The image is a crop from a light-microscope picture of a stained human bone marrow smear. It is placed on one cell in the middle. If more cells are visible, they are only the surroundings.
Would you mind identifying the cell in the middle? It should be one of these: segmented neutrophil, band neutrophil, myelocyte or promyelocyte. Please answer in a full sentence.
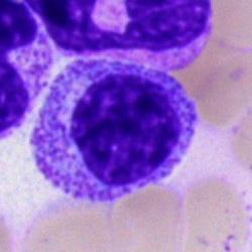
Whatever else lies nearby, the middle cell is a myelocyte.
